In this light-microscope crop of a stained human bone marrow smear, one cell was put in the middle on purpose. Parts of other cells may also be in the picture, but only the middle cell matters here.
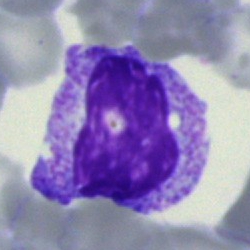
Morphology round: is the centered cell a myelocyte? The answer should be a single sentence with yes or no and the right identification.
Yes, the cell found in the center of the crop is a myelocyte.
